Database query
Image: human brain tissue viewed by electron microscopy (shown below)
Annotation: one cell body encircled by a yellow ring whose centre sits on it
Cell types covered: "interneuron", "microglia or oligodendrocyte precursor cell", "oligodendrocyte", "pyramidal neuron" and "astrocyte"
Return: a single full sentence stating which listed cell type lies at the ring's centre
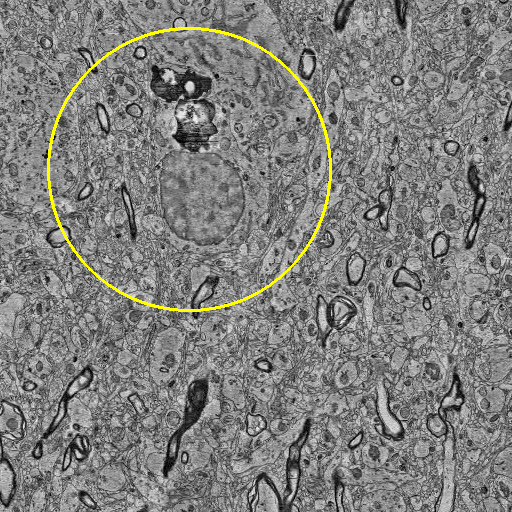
In the image, the cell lying at the ring's centre is an oligodendrocyte.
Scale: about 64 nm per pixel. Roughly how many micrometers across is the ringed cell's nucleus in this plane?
The nucleus measures about 7 by 6 micrometres in this plane.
